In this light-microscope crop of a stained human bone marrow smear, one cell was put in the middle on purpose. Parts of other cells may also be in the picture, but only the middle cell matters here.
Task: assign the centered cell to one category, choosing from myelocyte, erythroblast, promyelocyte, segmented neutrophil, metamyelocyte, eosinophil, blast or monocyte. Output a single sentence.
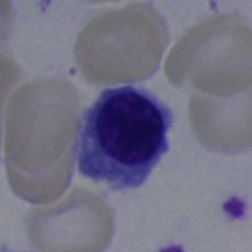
The cell of interest, located centrally, is an erythroblast.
